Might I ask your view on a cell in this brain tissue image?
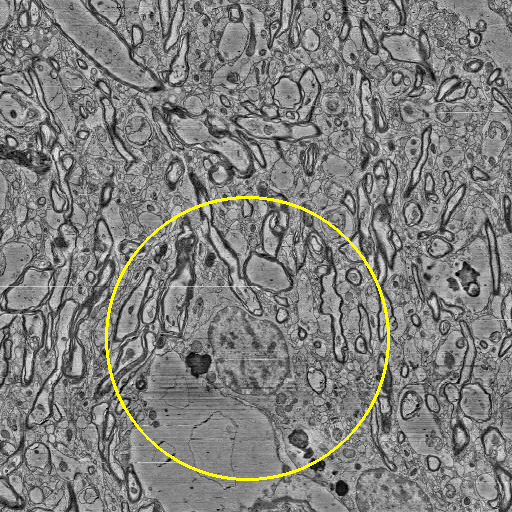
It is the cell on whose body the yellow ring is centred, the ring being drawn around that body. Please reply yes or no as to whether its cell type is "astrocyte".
no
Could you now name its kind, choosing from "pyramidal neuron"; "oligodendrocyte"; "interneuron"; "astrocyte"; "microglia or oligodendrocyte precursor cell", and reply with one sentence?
The cell shown in the ring is an oligodendrocyte.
